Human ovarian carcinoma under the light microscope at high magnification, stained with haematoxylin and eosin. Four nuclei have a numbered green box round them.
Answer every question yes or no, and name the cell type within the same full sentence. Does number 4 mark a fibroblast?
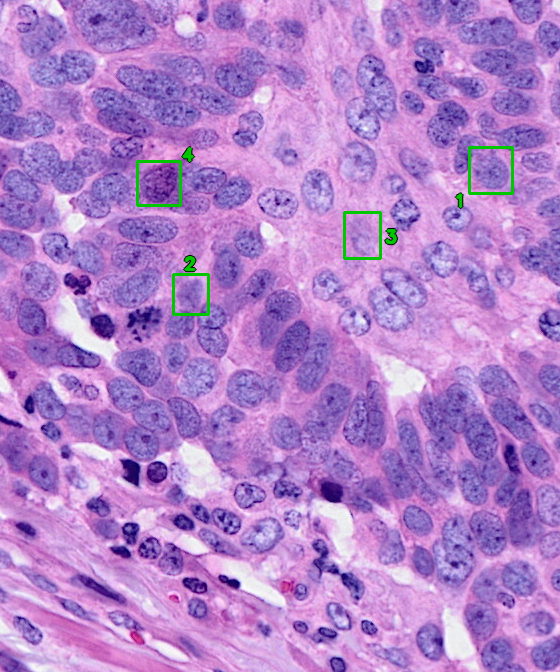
No, number 4 corresponds to a carcinoma cell, not a fibroblast.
